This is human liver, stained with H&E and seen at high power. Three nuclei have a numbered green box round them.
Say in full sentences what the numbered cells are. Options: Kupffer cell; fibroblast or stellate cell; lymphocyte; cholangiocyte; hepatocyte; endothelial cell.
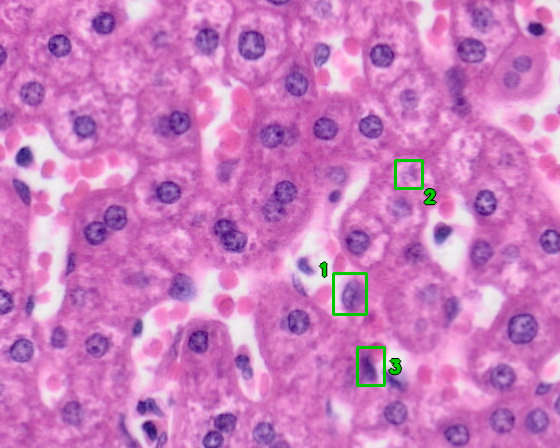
Cell 1 is a Kupffer cell. Cell 2 is a hepatocyte. Cell 3 is a fibroblast or stellate cell.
